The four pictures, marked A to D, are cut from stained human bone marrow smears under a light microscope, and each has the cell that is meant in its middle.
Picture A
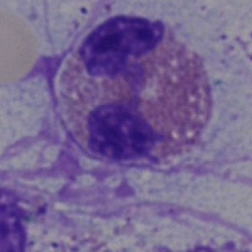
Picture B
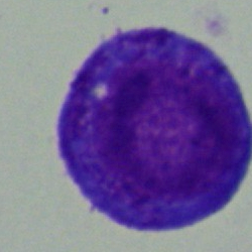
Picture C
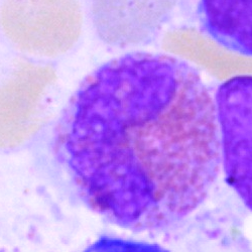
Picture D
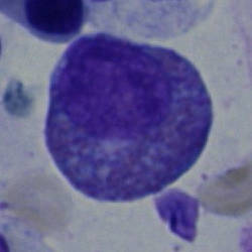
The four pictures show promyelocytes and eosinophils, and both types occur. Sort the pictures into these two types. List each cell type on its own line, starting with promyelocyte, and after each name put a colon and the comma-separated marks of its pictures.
promyelocyte: B
eosinophil: A, C, D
